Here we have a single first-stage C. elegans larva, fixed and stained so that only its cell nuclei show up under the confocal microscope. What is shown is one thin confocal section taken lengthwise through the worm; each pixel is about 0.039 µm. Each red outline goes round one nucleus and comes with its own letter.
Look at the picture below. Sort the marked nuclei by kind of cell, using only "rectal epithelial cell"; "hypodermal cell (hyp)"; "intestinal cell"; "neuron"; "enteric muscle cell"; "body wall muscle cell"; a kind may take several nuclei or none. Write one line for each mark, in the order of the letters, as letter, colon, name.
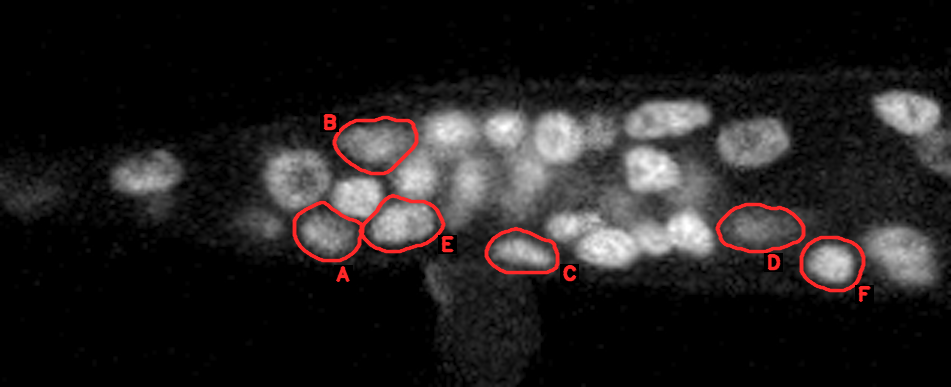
A: hypodermal cell (hyp)
B: body wall muscle cell
C: rectal epithelial cell
D: enteric muscle cell
E: body wall muscle cell
F: neuron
